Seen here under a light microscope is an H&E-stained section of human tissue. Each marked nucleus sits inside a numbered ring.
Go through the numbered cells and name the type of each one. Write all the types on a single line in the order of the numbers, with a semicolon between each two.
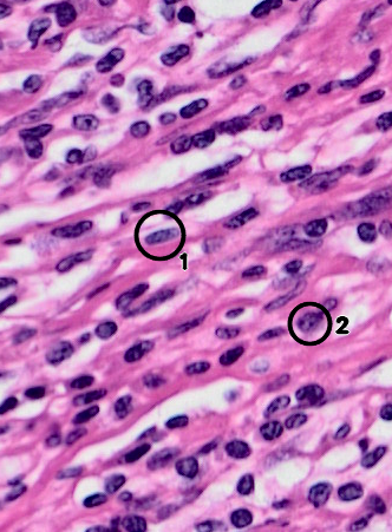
lymphocyte; plasma cell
